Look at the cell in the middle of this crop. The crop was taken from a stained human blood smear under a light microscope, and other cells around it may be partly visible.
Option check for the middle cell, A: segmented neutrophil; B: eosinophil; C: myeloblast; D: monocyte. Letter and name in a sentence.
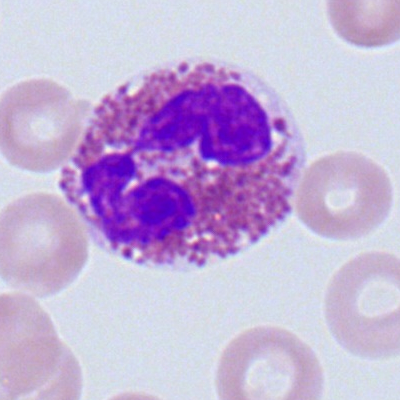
The cell right in the middle is an eosinophil, so option B is the one.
